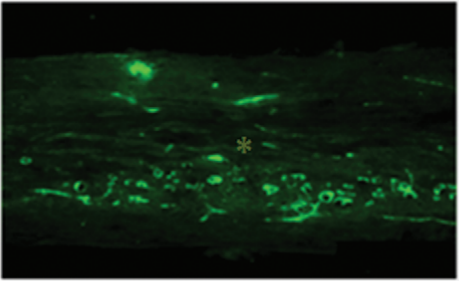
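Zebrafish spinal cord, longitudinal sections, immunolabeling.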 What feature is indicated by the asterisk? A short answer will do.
Central canal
